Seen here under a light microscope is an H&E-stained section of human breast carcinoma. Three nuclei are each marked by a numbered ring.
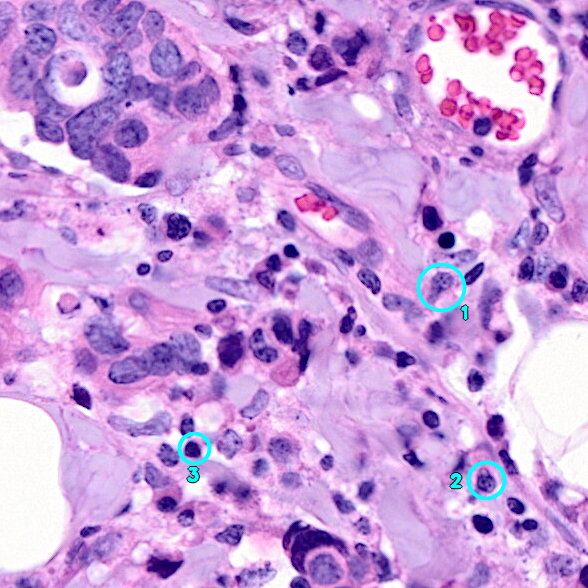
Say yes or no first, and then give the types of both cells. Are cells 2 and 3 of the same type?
Yes, both are lymphocytes.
